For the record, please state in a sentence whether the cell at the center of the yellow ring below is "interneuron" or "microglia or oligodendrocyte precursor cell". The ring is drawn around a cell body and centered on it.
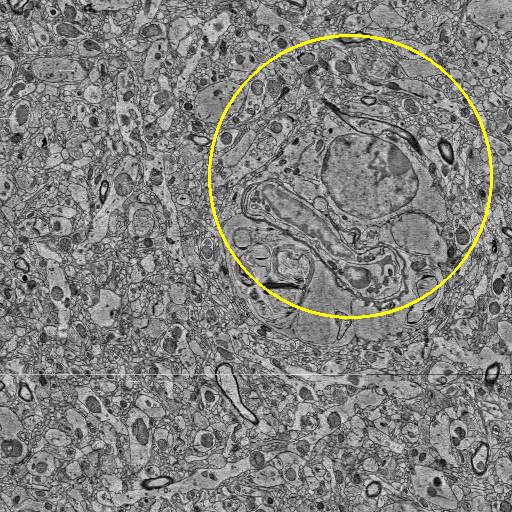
The cell at the ring's center is a microglial cell or oligodendrocyte precursor cell.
